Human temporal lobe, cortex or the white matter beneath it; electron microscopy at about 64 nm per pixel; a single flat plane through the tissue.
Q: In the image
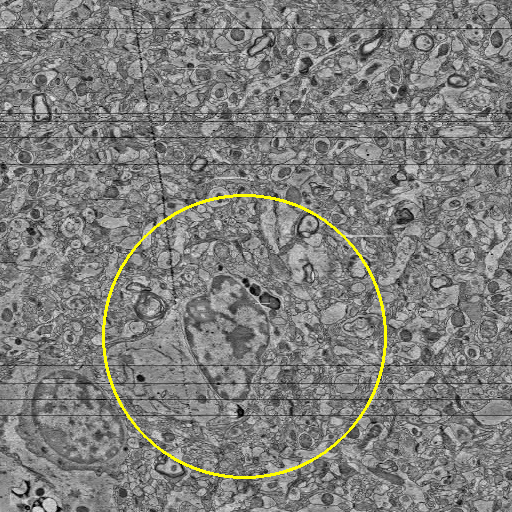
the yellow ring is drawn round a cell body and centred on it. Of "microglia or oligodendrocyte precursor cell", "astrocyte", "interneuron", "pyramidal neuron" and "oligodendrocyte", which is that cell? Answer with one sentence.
The cell centred in the ring is a microglial cell or oligodendrocyte precursor cell.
